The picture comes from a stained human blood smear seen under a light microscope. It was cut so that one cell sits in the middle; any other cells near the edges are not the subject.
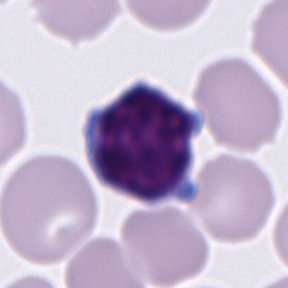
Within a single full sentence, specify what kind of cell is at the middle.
The cell under consideration, at the middle of the crop, is a typical lymphocyte.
